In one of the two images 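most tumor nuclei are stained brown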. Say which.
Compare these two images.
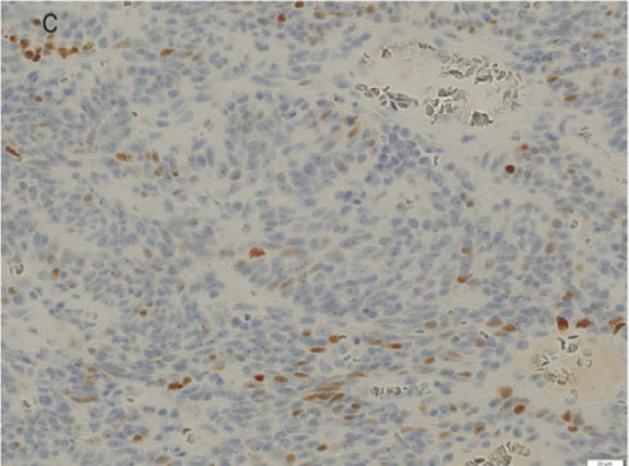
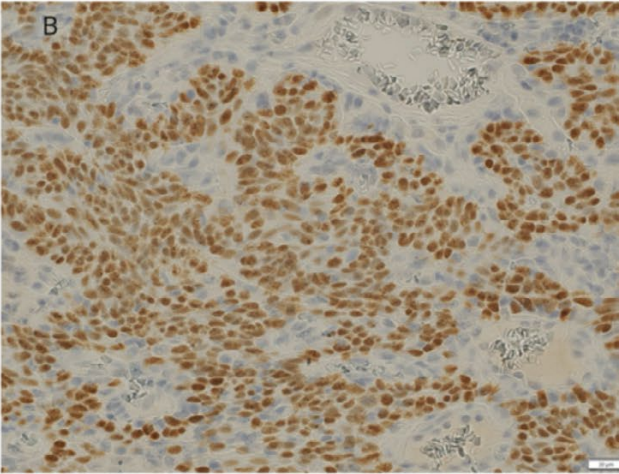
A: the second image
